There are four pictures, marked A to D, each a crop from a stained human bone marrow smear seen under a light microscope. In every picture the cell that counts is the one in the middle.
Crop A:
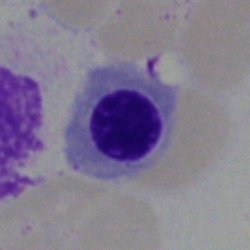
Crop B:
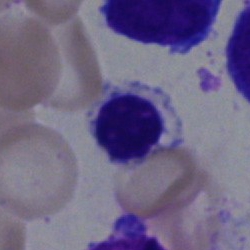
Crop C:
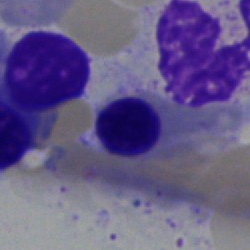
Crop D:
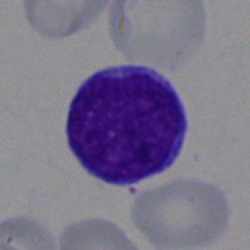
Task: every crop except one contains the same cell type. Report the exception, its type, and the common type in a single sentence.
Crop D is a blast, the one exception to the erythroblasts of the other crops.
